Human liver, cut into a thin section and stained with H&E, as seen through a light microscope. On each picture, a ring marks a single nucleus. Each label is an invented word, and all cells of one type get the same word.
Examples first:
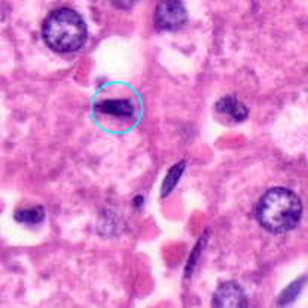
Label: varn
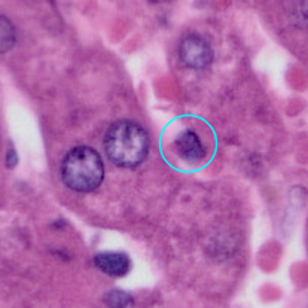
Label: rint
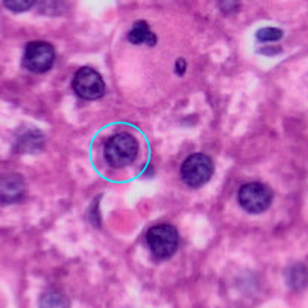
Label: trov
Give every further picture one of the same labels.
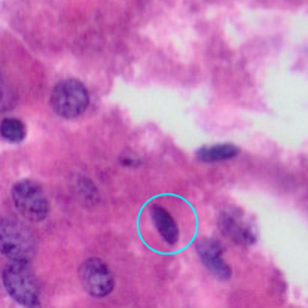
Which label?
varn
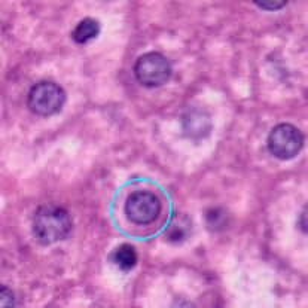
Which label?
trov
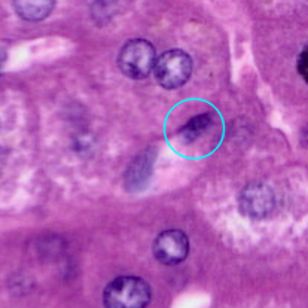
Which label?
varn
